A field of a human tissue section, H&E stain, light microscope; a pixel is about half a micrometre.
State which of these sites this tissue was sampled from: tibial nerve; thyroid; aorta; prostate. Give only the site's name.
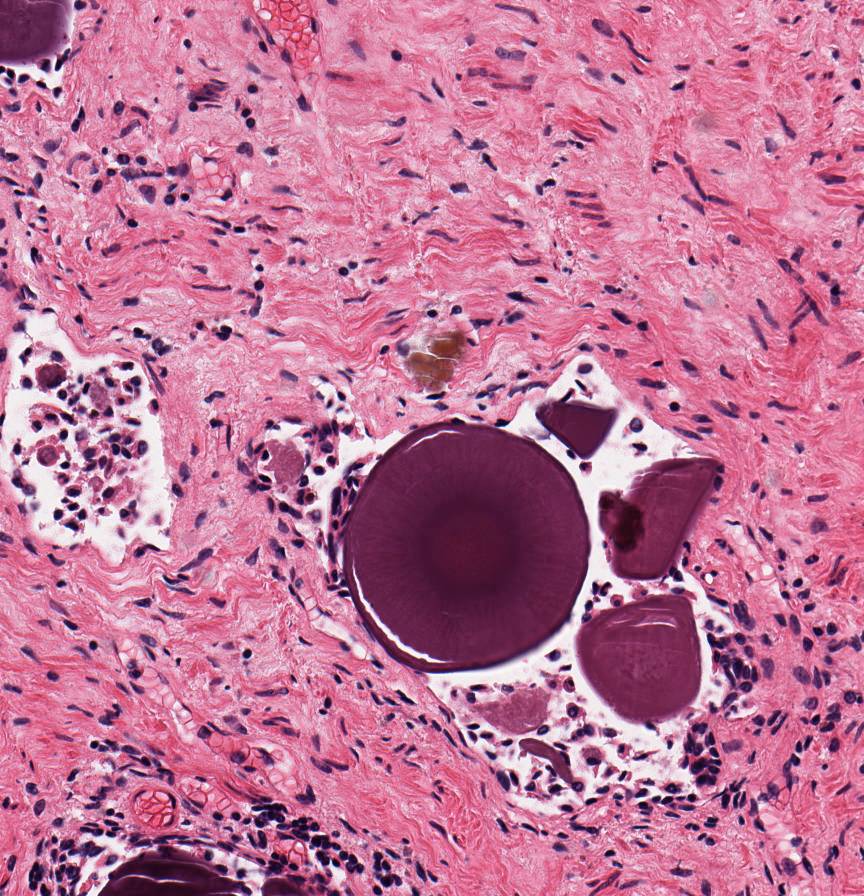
prostate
